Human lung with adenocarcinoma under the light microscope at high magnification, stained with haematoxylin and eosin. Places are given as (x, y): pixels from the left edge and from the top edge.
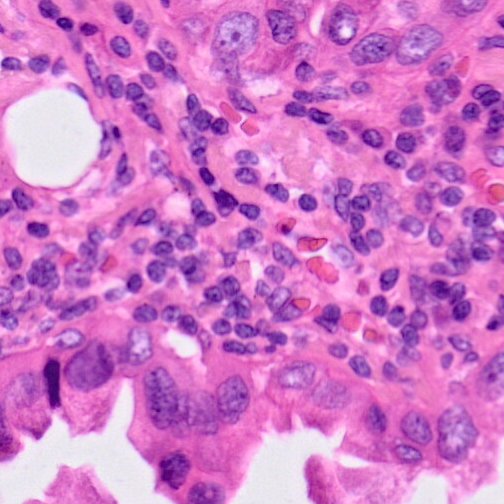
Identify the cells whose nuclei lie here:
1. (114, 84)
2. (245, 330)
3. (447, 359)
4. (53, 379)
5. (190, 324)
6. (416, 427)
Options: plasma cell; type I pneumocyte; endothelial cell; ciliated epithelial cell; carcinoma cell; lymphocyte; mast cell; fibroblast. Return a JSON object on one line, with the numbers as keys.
{"1": "lymphocyte", "2": "lymphocyte", "3": "lymphocyte", "4": "carcinoma cell", "5": "lymphocyte", "6": "carcinoma cell"}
